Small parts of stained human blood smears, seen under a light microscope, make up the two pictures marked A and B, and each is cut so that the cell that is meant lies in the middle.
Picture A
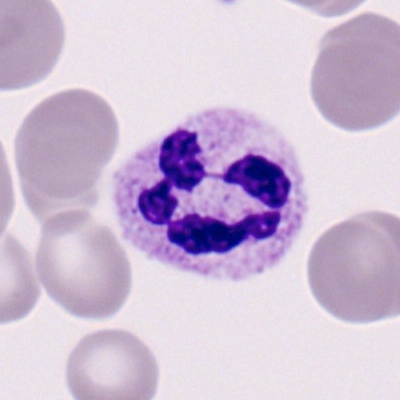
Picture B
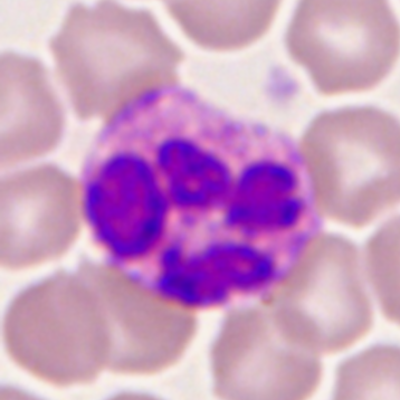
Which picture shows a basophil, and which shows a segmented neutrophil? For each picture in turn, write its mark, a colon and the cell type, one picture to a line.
A: segmented neutrophil
B: basophil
